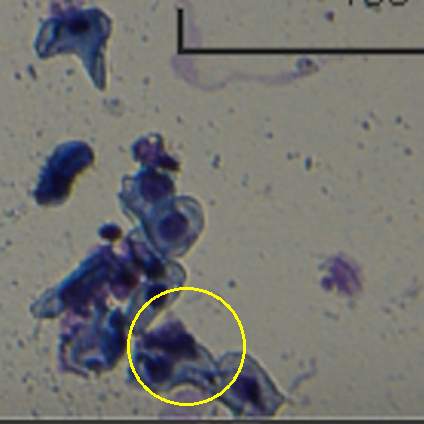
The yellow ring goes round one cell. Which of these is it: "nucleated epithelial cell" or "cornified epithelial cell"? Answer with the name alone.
nucleated epithelial cell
